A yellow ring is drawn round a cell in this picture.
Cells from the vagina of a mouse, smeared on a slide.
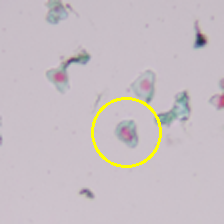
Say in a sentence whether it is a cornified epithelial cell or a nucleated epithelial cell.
The cell in the ring is a nucleated epithelial cell.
